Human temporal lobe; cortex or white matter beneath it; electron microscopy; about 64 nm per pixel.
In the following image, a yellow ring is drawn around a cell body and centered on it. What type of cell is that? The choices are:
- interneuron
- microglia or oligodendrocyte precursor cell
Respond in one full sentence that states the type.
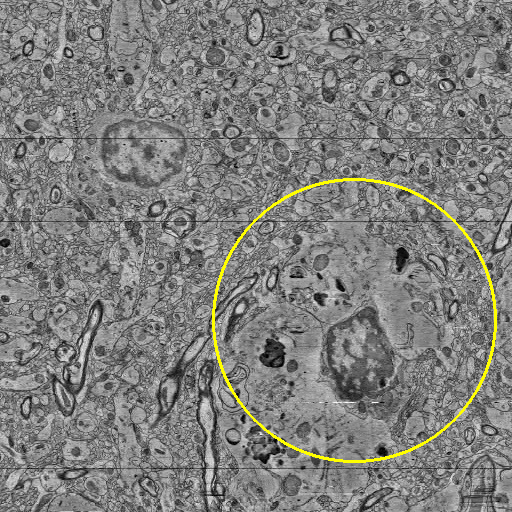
The cell at the center of the yellow ring in the image is a microglial cell or oligodendrocyte precursor cell.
